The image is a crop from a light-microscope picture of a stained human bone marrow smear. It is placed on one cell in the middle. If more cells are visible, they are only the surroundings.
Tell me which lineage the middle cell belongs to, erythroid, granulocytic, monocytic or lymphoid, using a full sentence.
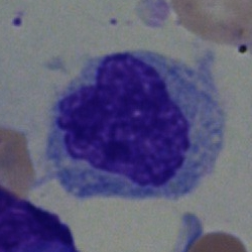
On lineage, the cell in the middle of the crop is monocytic.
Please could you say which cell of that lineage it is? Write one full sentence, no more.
At the crop's centre, the cell is a monocyte.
